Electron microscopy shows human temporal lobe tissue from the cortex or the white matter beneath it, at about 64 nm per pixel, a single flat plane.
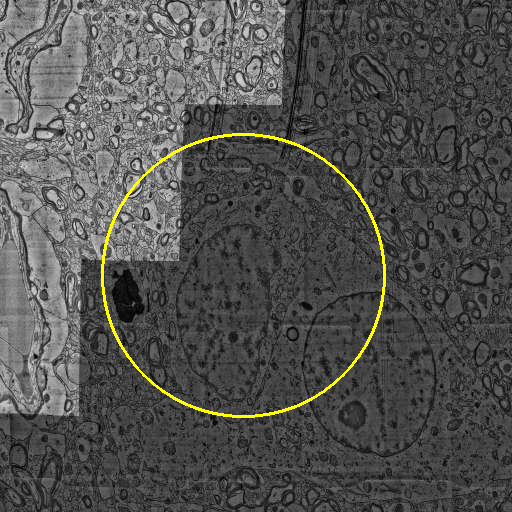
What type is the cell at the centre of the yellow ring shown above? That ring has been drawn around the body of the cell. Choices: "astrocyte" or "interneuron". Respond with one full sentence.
My answer is that an interneuron lies at the centre of the yellow ring above.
